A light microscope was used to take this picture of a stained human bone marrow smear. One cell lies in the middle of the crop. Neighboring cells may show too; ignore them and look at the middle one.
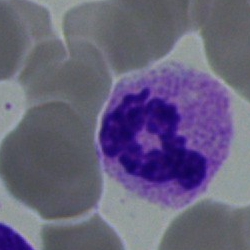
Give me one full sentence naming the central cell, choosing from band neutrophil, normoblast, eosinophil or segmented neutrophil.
What the crop centres on is a segmented neutrophil.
